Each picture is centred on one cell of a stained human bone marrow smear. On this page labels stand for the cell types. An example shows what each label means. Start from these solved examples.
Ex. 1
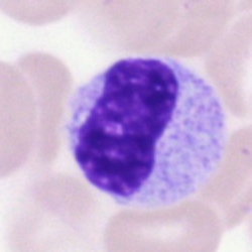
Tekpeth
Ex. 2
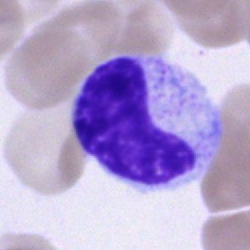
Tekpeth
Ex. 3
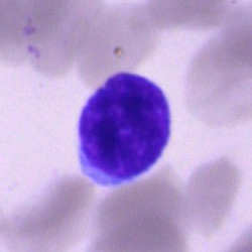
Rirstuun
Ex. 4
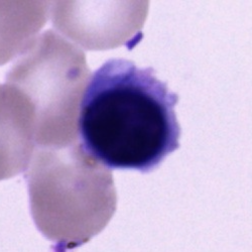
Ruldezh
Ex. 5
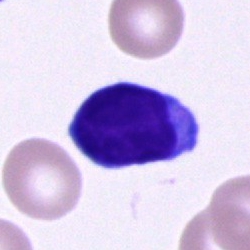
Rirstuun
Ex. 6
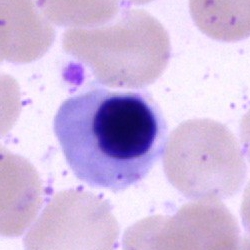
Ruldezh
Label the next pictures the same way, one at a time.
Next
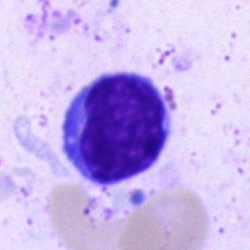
Rirstuun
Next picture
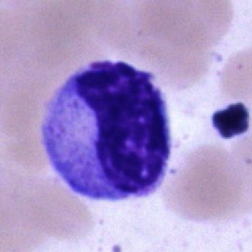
Tekpeth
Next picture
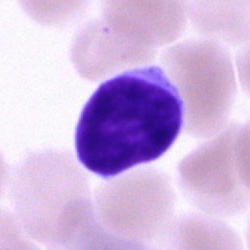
Rirstuun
